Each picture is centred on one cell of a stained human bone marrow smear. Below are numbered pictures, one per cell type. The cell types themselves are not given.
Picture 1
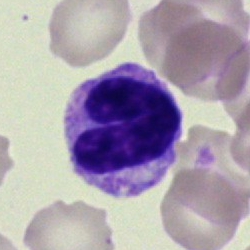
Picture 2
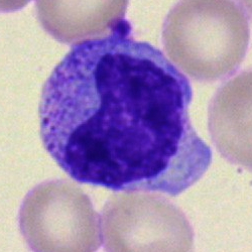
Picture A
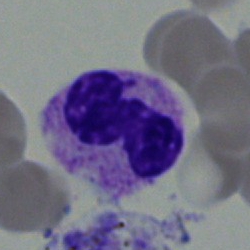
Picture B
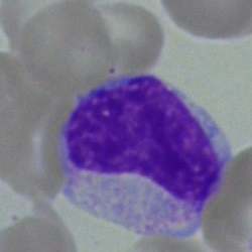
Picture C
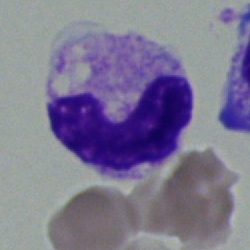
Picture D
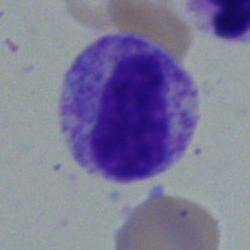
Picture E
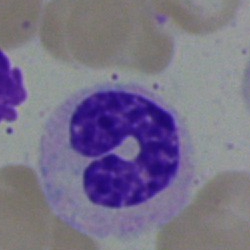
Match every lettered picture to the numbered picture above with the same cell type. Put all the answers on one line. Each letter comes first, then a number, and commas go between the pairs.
A 1, B 2, C 1, D 2, E 1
